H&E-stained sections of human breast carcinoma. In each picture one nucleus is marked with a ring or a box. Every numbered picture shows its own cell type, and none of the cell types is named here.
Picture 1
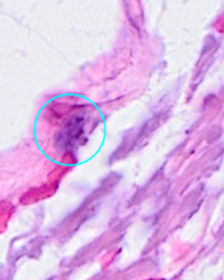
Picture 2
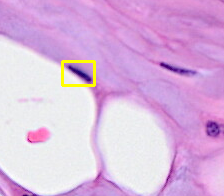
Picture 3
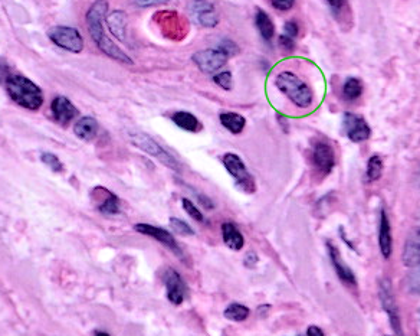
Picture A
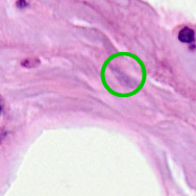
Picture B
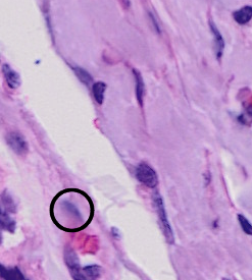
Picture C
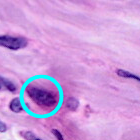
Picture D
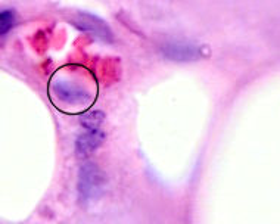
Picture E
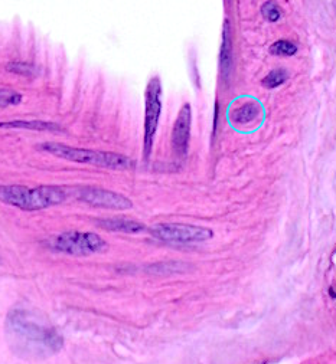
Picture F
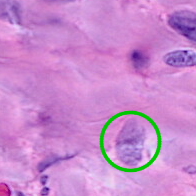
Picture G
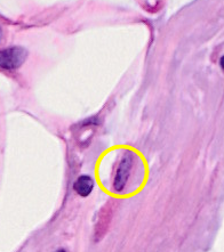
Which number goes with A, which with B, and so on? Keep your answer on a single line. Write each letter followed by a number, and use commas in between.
A 2, B 1, C 3, D 1, E 1, F 2, G 3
